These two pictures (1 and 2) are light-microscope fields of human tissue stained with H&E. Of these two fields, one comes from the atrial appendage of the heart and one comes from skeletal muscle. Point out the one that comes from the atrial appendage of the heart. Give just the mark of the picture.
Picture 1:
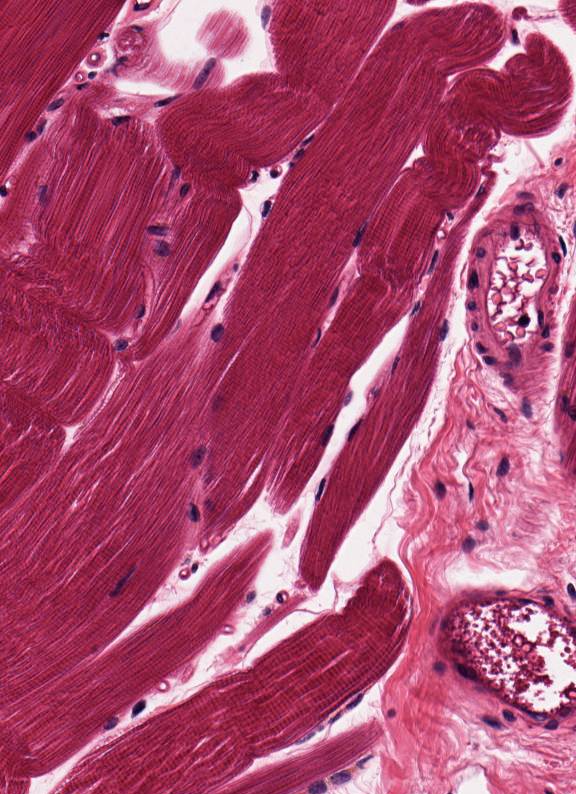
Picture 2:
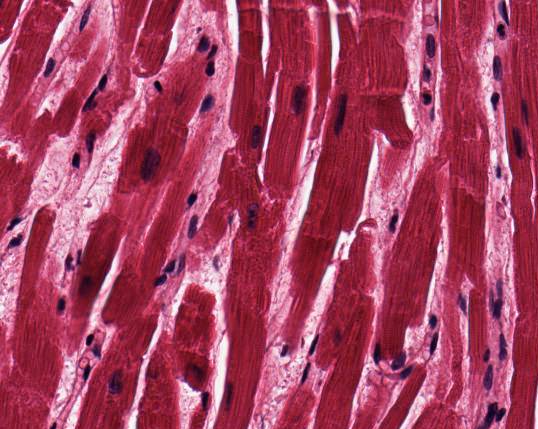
2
